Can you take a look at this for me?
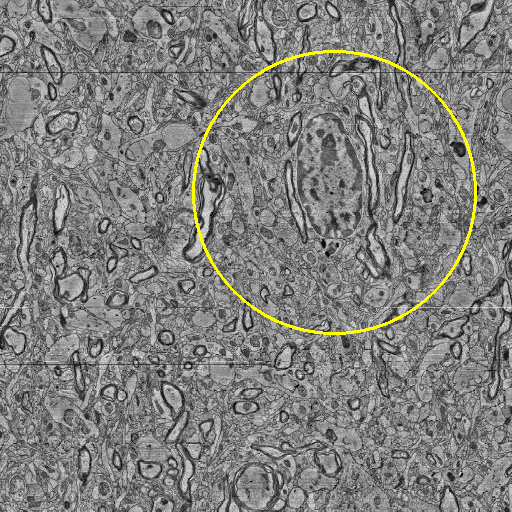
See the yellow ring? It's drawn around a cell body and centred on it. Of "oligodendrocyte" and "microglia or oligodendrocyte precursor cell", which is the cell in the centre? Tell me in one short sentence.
The one in the centre is a microglial cell or oligodendrocyte precursor cell.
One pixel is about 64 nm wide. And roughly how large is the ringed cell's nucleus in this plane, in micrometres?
The ringed cell's nucleus is about 8 micrometres long and 4 micrometres wide in this plane.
